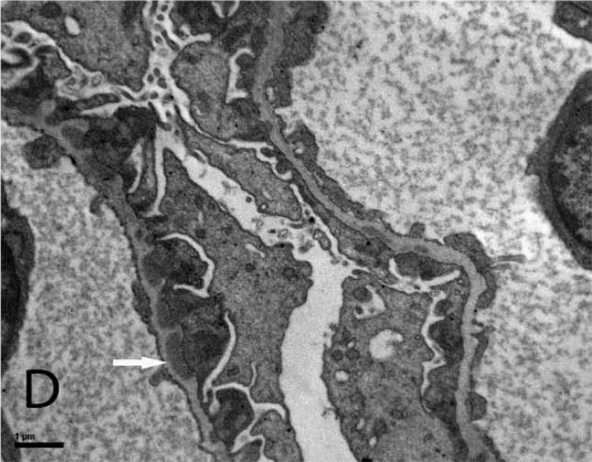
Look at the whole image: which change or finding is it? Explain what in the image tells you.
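The epithelial cytoplasm lies as broad continuous sheets along the basement membrane. Separate narrow foot processes are scarcely seen.
Effacement of epithelial foot processes.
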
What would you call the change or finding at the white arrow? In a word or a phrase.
Sub-epithelial dense deposits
